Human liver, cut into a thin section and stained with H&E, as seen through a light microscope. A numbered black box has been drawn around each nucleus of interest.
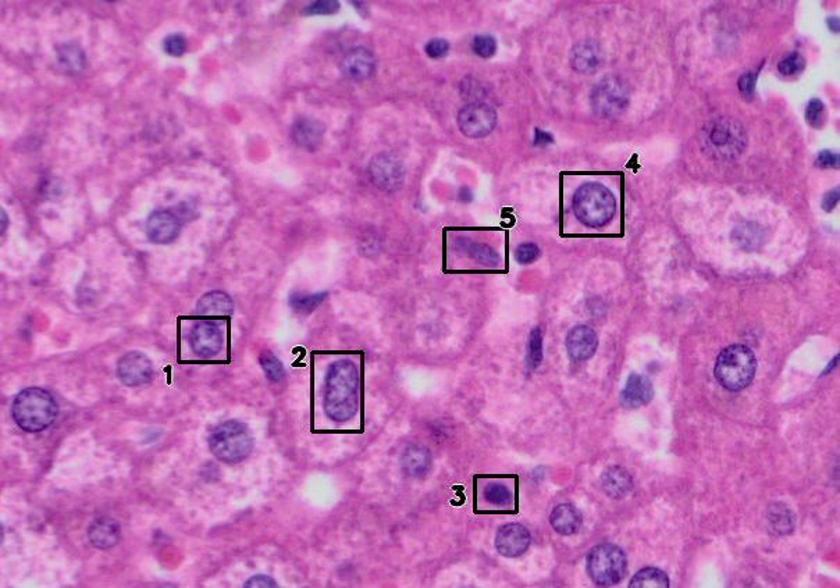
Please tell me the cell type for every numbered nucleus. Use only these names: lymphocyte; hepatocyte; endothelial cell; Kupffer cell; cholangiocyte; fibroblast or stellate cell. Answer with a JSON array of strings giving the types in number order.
["hepatocyte", "hepatocyte", "lymphocyte", "hepatocyte", "Kupffer cell"]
